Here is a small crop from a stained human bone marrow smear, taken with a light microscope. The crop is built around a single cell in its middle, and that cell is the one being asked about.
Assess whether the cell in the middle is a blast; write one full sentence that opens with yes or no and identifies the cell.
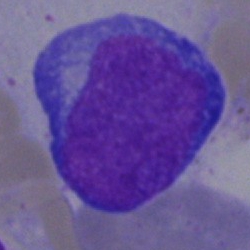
Yes, the cell that lies centrally is a blast.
